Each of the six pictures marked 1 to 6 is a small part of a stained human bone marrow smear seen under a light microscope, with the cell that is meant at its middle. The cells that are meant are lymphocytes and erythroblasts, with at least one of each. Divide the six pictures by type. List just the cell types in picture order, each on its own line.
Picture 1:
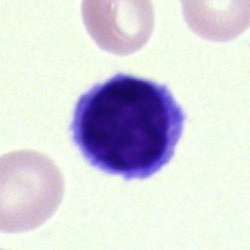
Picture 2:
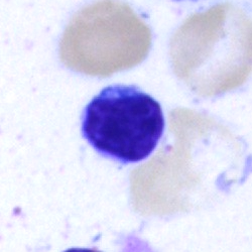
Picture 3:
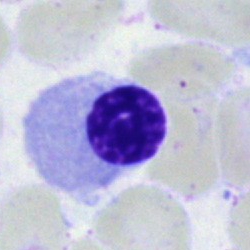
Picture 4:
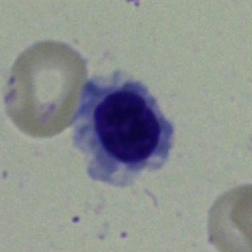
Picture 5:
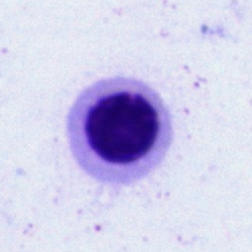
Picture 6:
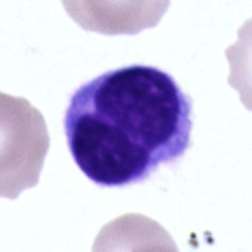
lymphocyte
lymphocyte
erythroblast
erythroblast
erythroblast
lymphocyte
